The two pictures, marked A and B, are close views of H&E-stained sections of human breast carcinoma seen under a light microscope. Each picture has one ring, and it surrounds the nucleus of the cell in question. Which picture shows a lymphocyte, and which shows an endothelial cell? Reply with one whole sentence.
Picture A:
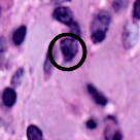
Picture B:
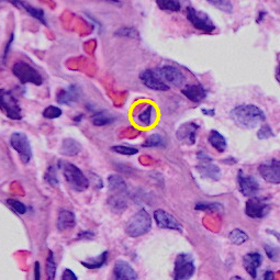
It is picture A that shows a lymphocyte, and picture B that shows an endothelial cell.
